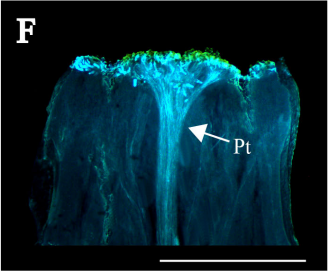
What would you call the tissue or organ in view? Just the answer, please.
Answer: Stigmas.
